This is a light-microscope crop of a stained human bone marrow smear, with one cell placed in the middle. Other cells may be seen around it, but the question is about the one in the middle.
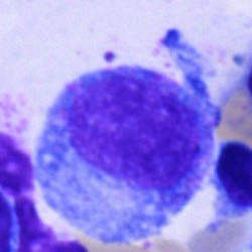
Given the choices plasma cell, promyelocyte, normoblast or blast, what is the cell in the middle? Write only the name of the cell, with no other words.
promyelocyte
